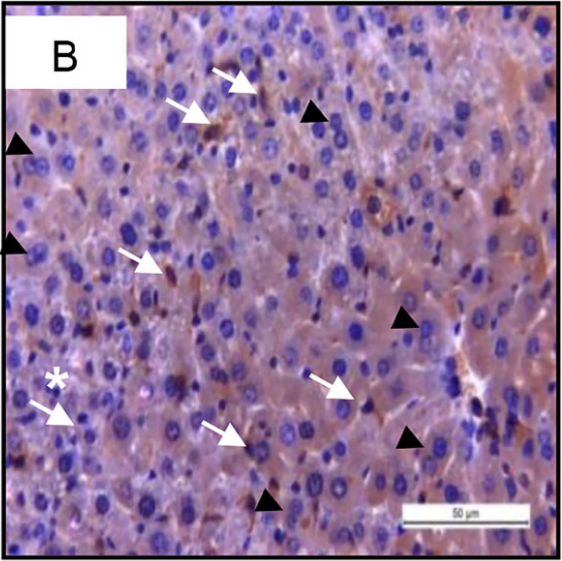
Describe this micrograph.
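Liver parenchyma in which large polygonal hepatocytes with round blue nuclei, some with two nuclei, are arranged in cords with broad, evenly pale-brown cytoplasm. Scattered small, dark brown elongated cells lie between the hepatocyte cords along the sinusoids. In places the cords are loosened and the tissue looks disrupted.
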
